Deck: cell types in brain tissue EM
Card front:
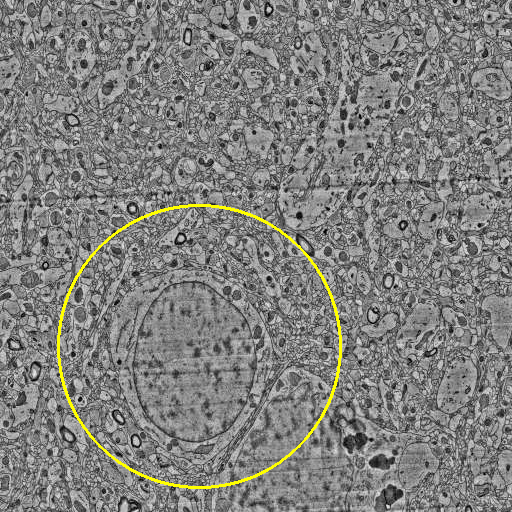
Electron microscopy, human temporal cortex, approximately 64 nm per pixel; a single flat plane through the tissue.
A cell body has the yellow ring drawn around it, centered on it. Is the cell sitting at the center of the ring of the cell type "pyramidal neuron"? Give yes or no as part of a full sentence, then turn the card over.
Yes, on this card the yellow ring is centered on a cell of that type.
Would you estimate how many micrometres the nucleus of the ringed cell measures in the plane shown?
About 10 by 8 micrometers, in this plane.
